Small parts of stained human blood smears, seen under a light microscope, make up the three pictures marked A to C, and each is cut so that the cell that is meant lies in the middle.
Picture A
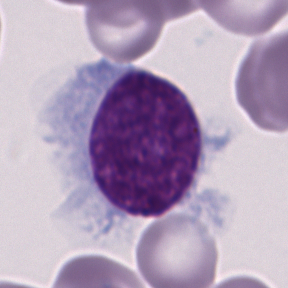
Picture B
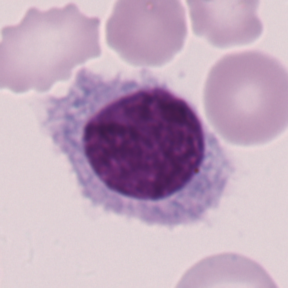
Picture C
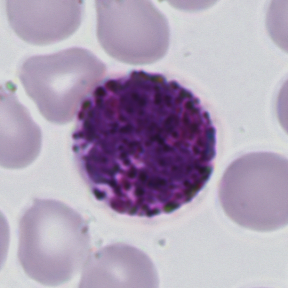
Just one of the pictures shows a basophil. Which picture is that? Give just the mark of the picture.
C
